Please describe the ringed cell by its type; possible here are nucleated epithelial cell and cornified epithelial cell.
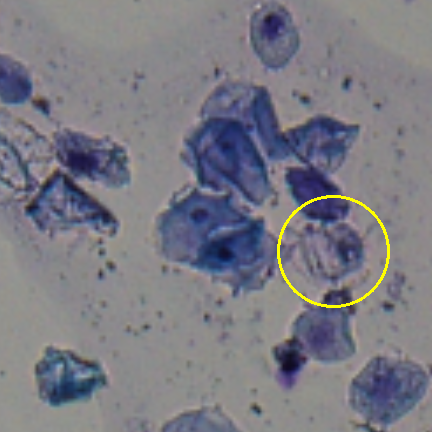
The yellow ring marks a cornified epithelial cell.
